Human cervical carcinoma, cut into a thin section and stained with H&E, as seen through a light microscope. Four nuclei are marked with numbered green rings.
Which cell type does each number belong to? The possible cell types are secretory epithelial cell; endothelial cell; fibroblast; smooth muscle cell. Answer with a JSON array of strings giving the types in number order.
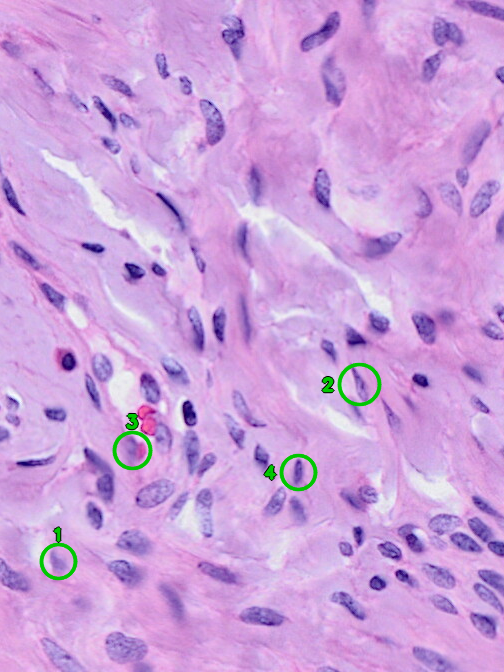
["fibroblast", "fibroblast", "endothelial cell", "fibroblast"]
